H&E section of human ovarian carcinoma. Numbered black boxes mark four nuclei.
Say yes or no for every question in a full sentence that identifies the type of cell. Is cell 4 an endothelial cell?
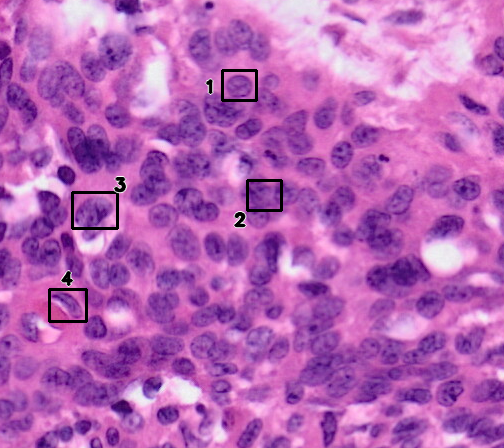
Yes, the cell that is numbered 4 is an endothelial cell.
